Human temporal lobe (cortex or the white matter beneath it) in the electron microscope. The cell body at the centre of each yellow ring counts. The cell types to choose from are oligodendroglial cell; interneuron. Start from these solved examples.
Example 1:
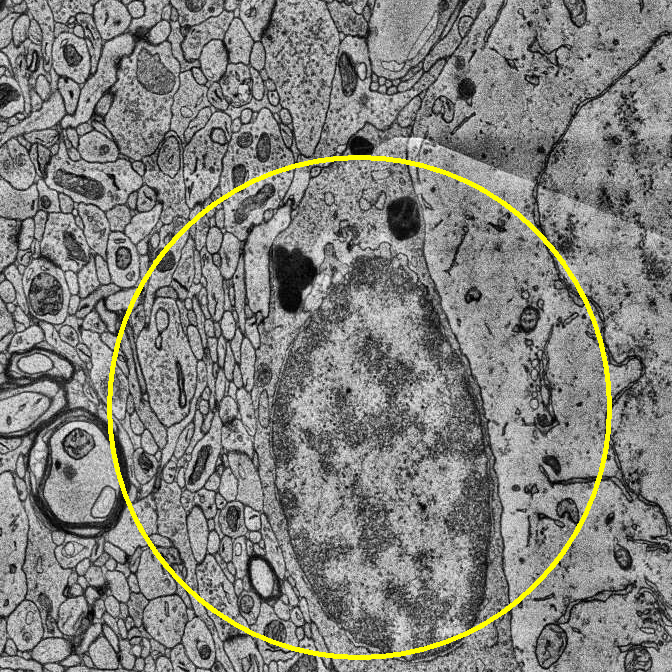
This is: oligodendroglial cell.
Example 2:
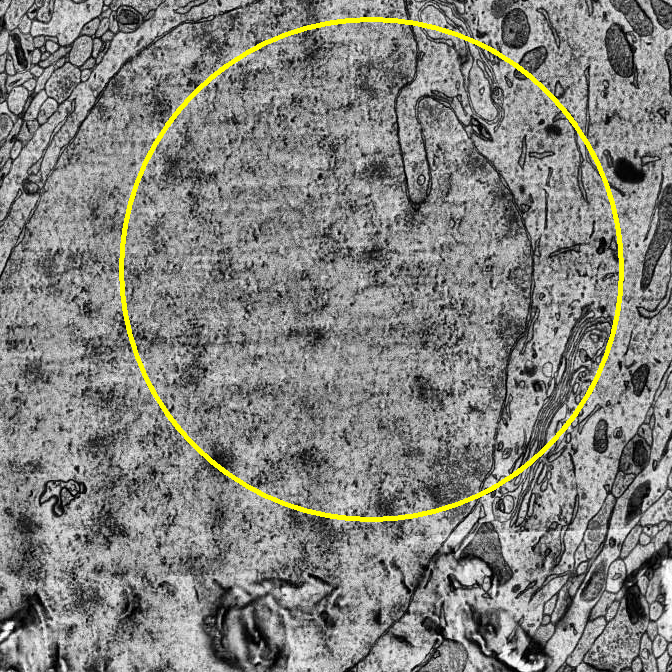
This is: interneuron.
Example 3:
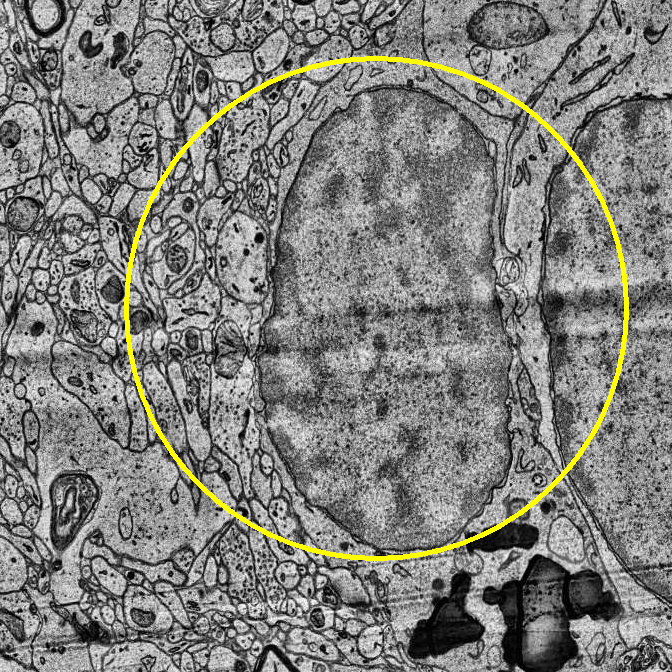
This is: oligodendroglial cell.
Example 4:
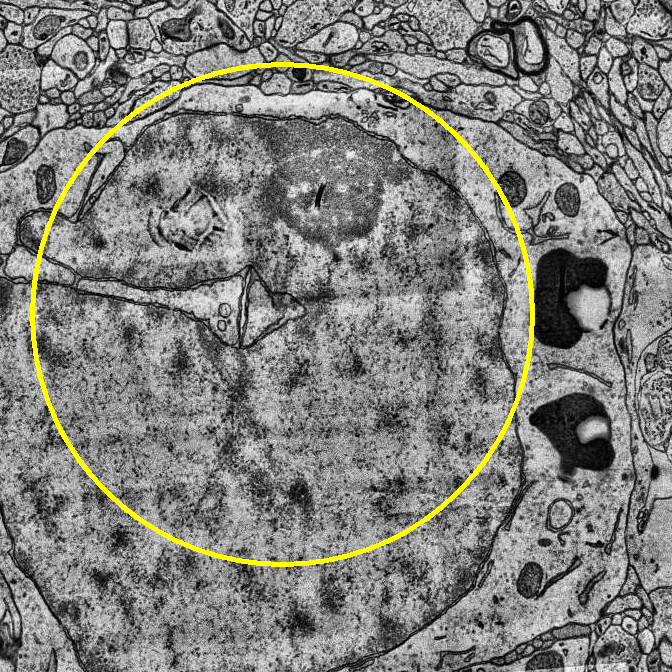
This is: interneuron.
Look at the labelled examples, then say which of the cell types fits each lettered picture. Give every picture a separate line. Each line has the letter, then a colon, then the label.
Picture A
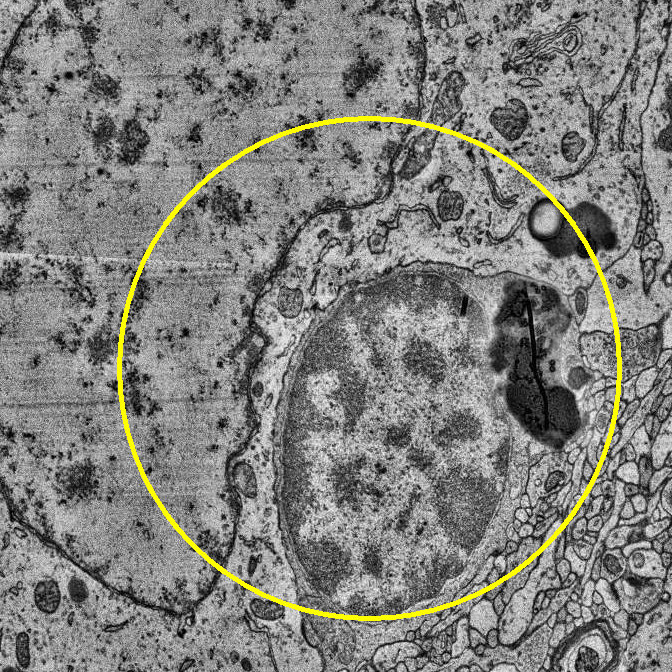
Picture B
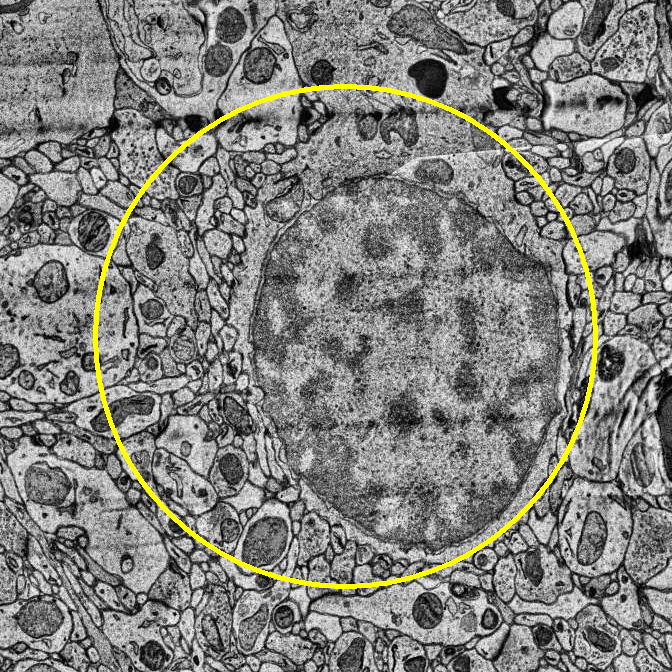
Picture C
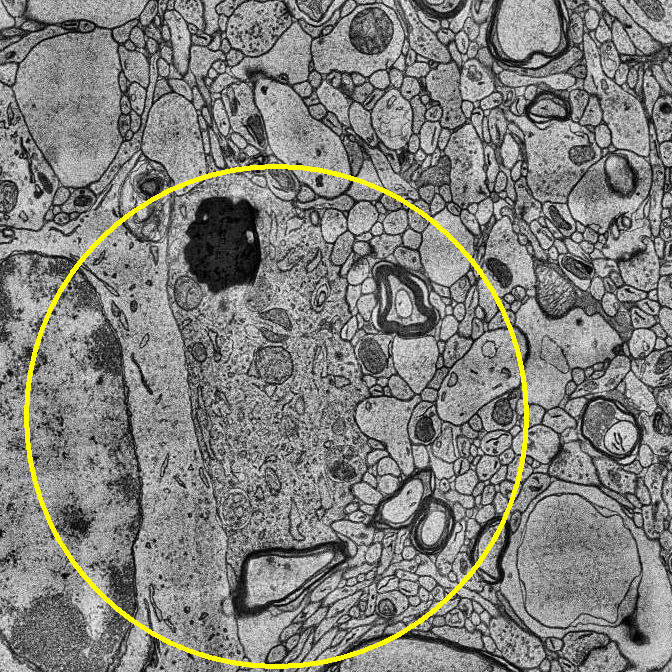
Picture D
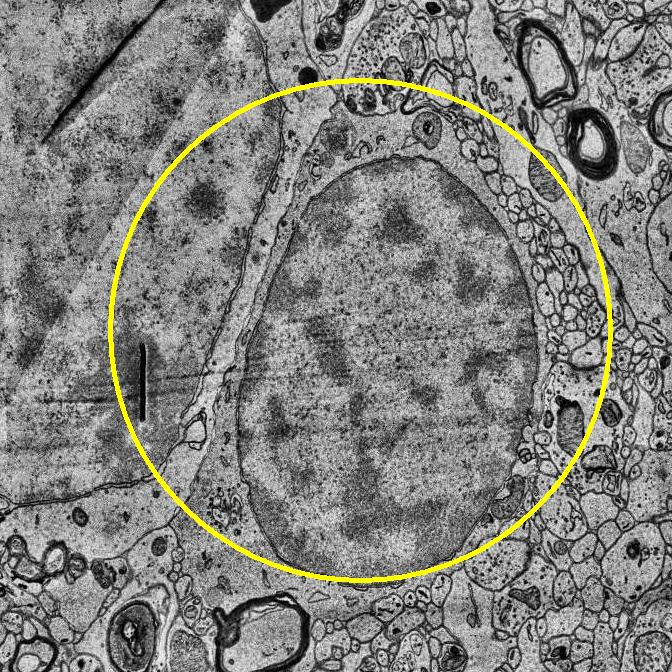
A: oligodendroglial cell.
B: oligodendroglial cell.
C: oligodendroglial cell.
D: oligodendroglial cell.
